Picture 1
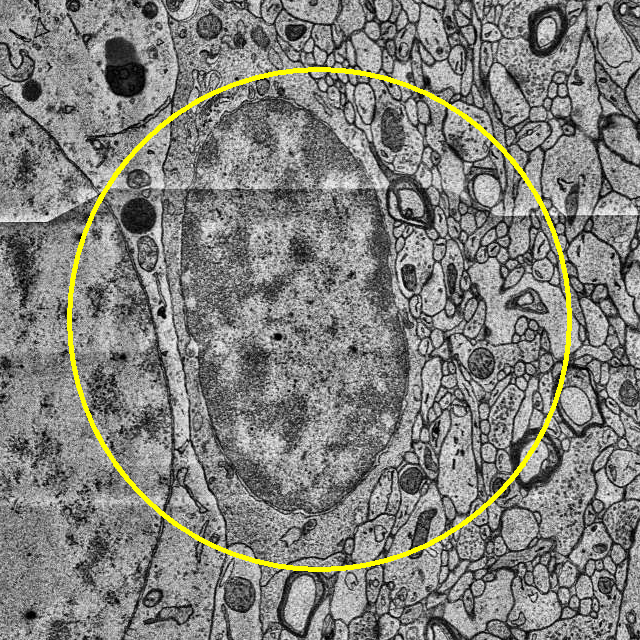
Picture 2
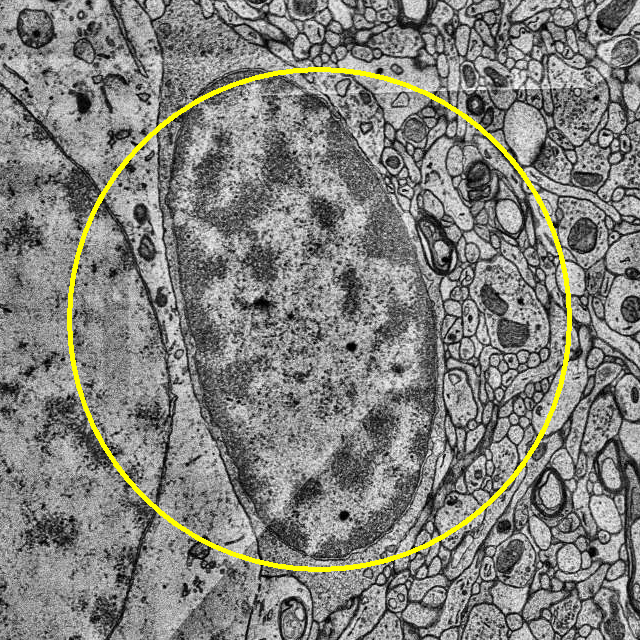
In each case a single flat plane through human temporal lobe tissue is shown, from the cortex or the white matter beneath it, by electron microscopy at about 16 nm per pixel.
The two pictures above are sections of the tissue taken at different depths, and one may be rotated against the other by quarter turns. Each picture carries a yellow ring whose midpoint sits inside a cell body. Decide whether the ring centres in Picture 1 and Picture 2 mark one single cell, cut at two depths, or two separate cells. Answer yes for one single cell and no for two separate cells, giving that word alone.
yes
